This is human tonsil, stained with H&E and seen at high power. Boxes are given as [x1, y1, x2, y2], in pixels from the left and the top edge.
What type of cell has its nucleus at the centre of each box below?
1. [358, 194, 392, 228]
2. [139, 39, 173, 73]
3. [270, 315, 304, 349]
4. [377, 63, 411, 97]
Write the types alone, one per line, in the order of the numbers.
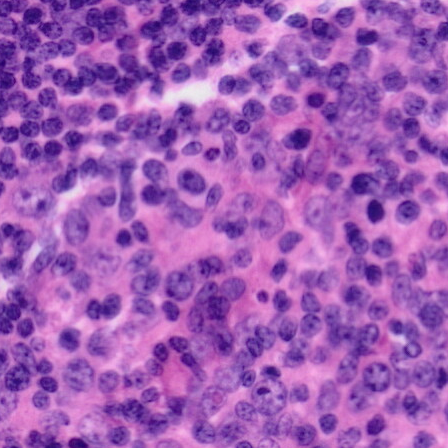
proliferating B cell
small lymphocyte
proliferating B cell
proliferating B cell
